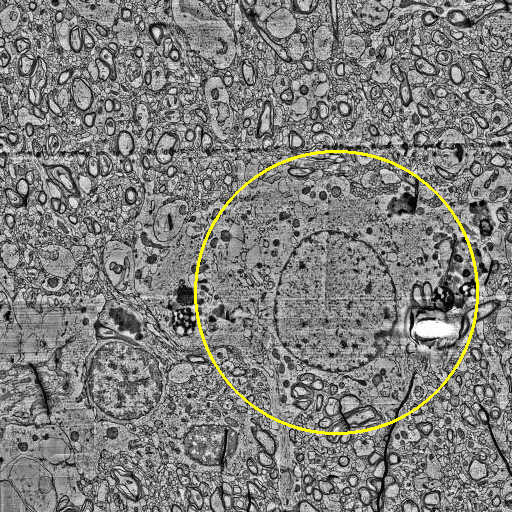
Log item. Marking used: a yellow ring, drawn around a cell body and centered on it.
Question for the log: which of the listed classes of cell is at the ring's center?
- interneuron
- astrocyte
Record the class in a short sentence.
At the center of the ring lies an astrocyte.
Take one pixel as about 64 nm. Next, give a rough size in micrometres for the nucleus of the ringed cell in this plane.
Approximately 9 micrometres long and 8 micrometres wide, in this plane.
